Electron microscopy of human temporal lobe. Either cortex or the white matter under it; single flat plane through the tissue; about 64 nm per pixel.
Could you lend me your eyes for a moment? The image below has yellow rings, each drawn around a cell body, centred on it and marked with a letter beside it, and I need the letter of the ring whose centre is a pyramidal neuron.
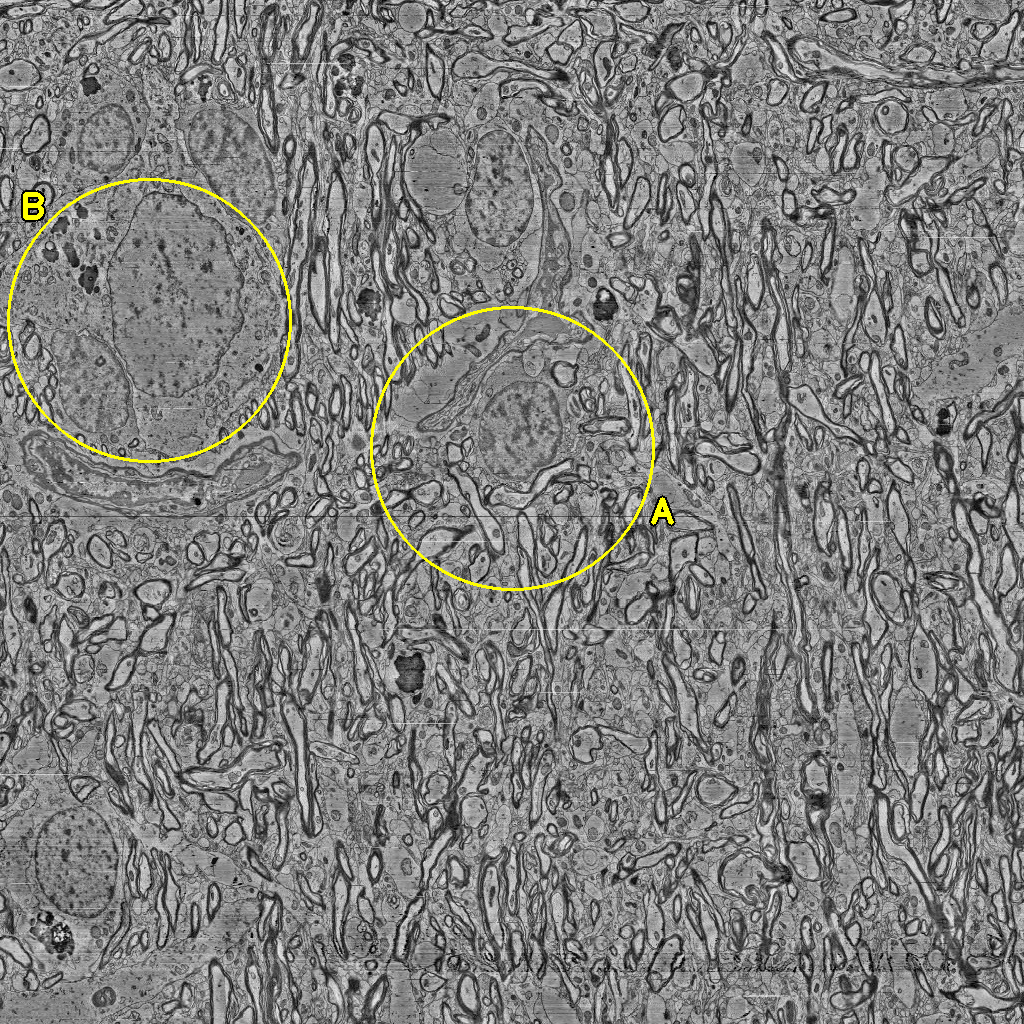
B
